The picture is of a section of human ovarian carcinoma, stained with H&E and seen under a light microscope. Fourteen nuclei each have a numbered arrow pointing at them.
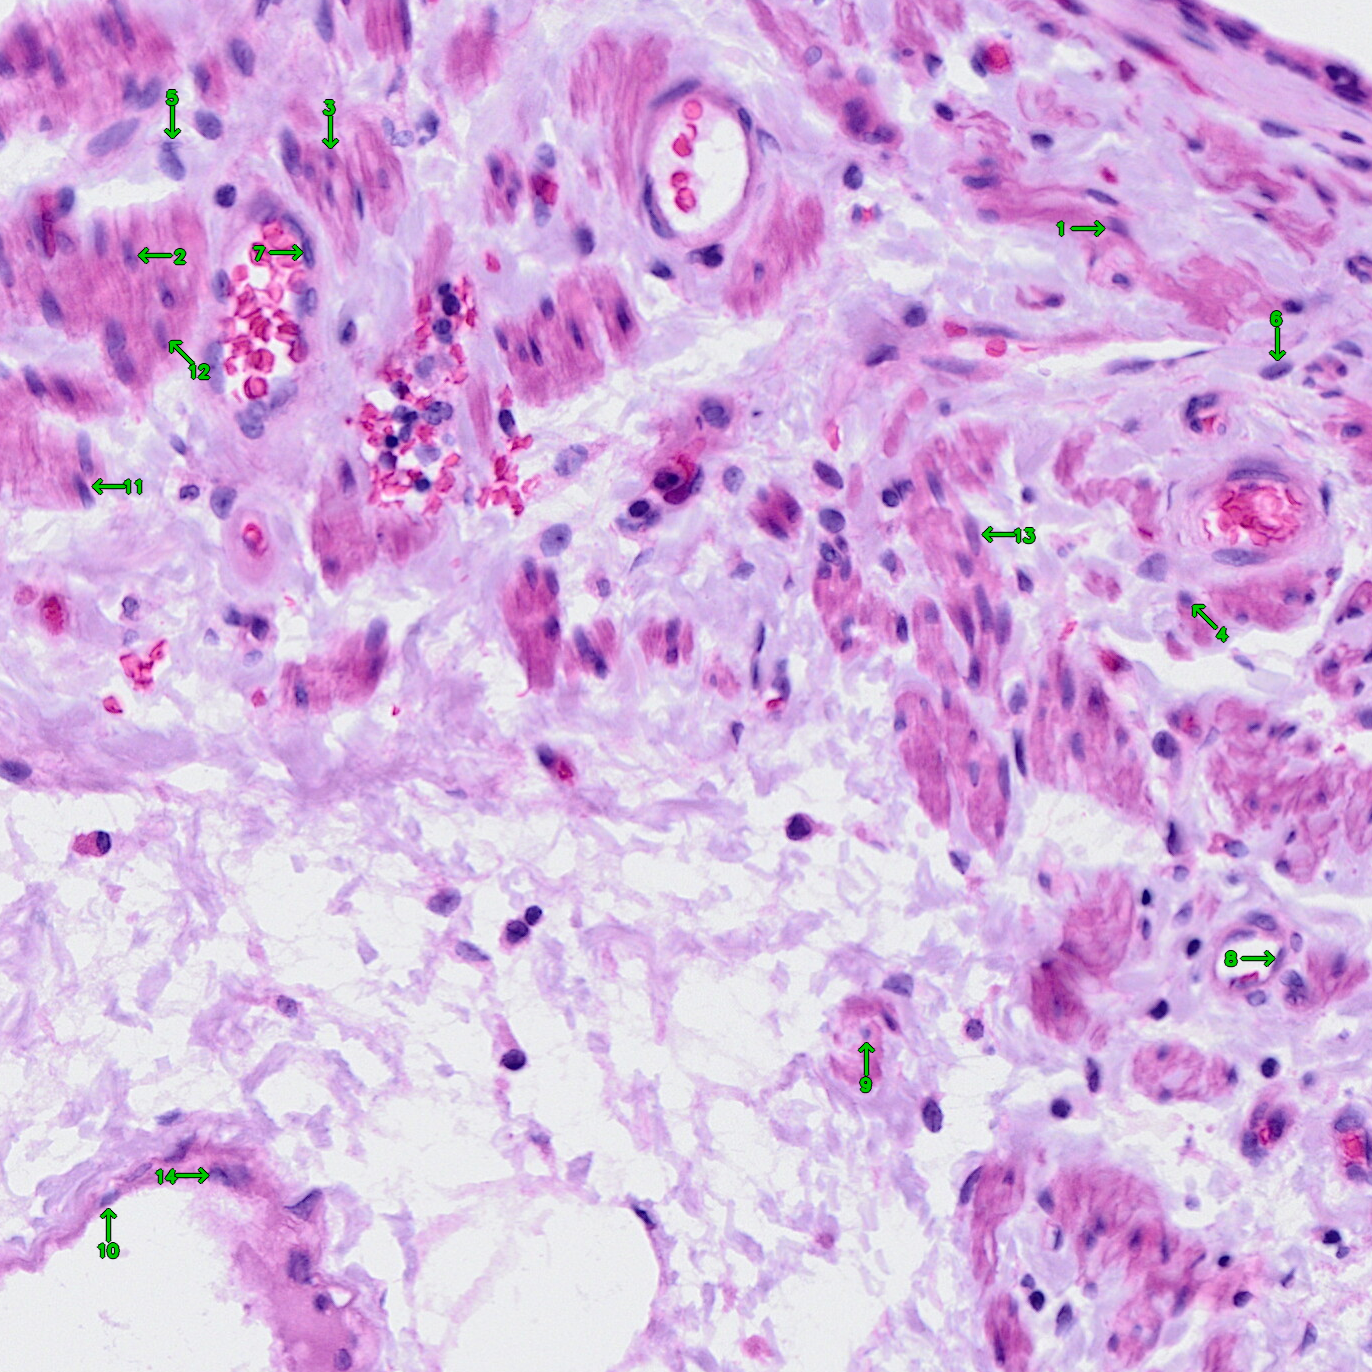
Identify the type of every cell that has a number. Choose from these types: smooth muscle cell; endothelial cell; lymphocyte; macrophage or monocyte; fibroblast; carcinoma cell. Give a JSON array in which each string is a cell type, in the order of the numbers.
["smooth muscle cell", "smooth muscle cell", "smooth muscle cell", "smooth muscle cell", "fibroblast", "fibroblast", "endothelial cell", "endothelial cell", "smooth muscle cell", "endothelial cell", "smooth muscle cell", "smooth muscle cell", "smooth muscle cell", "endothelial cell"]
